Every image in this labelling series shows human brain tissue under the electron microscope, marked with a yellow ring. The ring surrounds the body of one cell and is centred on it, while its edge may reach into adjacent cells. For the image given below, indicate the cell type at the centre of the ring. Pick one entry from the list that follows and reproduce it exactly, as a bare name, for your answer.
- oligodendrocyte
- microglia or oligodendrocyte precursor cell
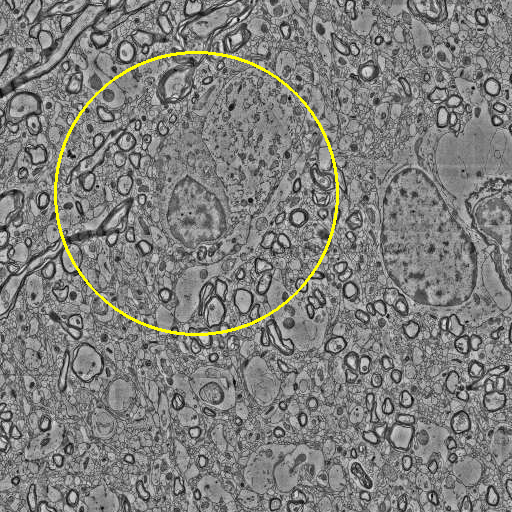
oligodendrocyte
